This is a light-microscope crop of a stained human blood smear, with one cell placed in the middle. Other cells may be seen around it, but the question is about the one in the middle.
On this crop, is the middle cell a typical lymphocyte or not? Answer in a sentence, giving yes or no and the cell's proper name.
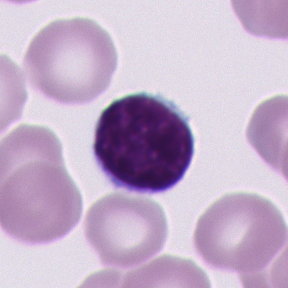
Yes, in the middle of the crop is a typical lymphocyte.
